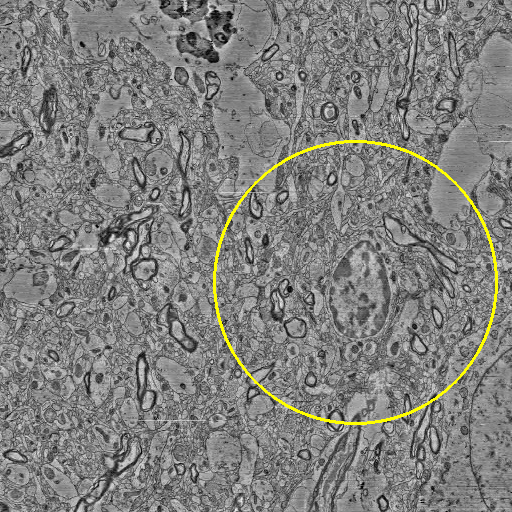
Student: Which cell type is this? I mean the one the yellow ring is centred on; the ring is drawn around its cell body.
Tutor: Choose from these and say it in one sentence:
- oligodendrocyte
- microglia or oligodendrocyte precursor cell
The cell the ring is centred on is a microglial cell or oligodendrocyte precursor cell.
